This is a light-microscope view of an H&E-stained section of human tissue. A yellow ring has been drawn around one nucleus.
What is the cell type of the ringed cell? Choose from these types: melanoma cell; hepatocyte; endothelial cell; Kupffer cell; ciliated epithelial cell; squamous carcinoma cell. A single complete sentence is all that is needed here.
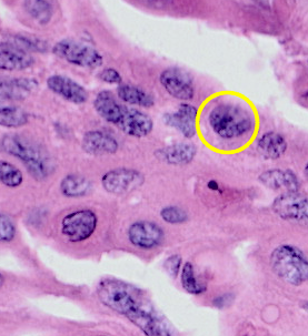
In the stained section, the ringed cell is a squamous carcinoma cell.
